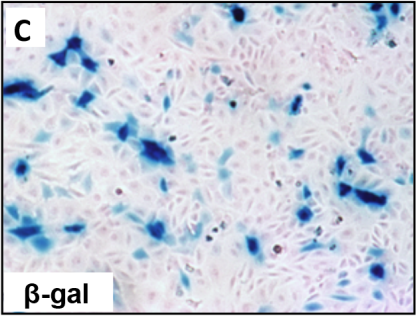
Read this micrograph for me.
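Scattered single cells and small groups have cytoplasm stained blue, some deep blue and irregular or elongated in shape. Most cells of the layer remain unstained apart from their pink nuclei.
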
